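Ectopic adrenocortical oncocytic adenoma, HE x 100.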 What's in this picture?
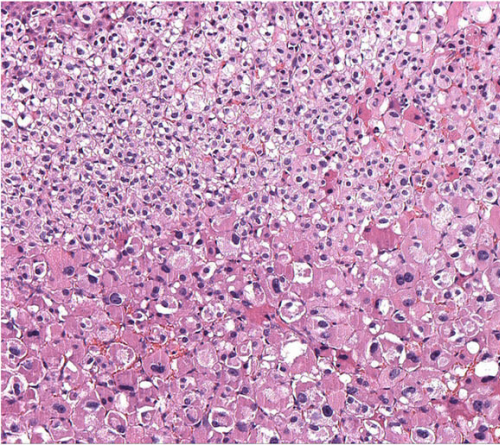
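This tumor is made of two intermixed kinds of cells. In the upper left, smaller cells with pale, clear to finely vacuolated cytoplasm and small round nuclei are packed closely together. Toward the lower right, larger polygonal cells with abundant pink eosinophilic cytoplasm predominate, some with enlarged dark nuclei. The cells form sheets and cords separated by delicate capillaries containing red blood cells. Scattered small empty spaces and pink globular material lie between the cells. The transition between the clear and the eosinophilic cells is gradual rather than sharply bounded.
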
